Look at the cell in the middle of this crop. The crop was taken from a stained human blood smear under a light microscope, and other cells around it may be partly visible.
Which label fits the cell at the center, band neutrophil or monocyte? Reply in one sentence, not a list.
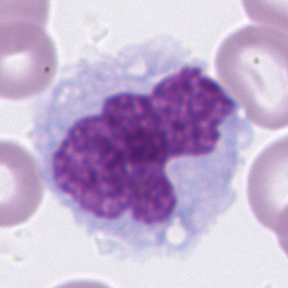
The central element of this crop is a cell, namely a monocyte.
